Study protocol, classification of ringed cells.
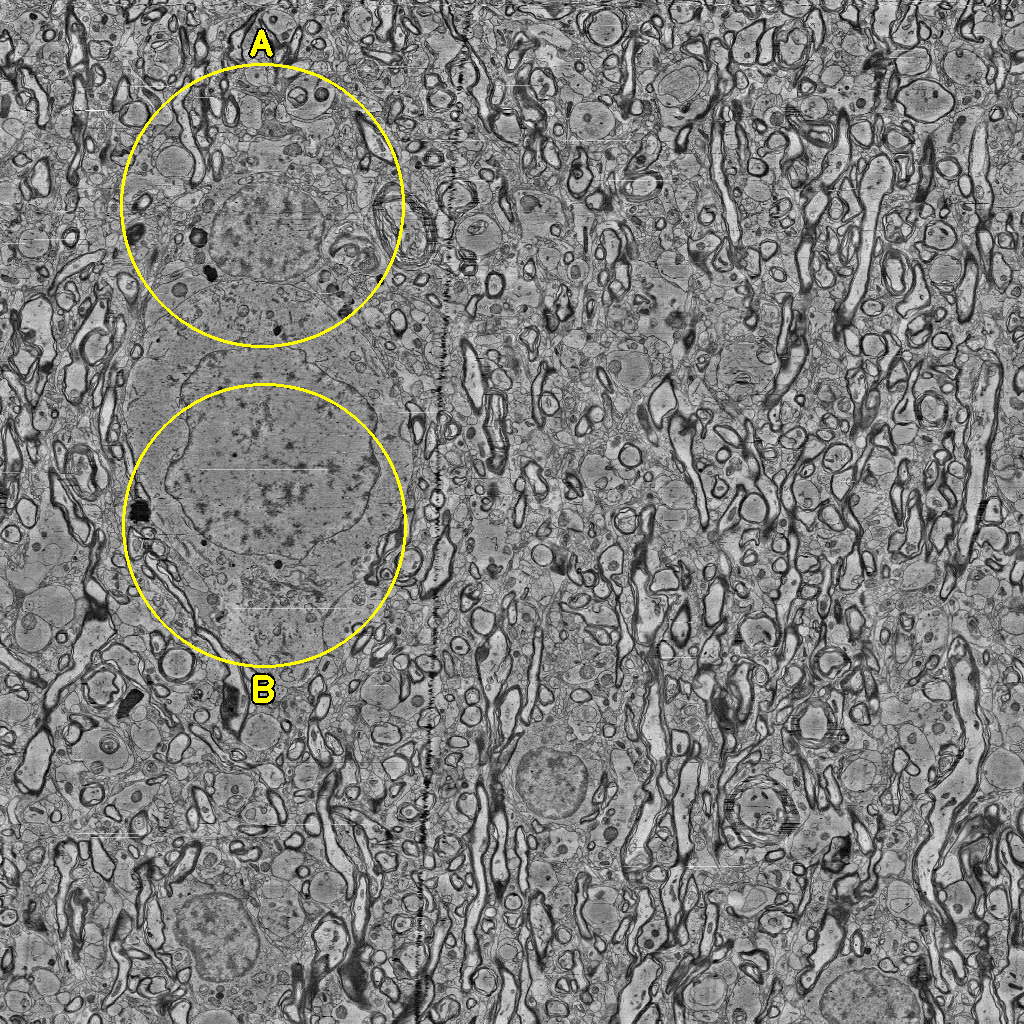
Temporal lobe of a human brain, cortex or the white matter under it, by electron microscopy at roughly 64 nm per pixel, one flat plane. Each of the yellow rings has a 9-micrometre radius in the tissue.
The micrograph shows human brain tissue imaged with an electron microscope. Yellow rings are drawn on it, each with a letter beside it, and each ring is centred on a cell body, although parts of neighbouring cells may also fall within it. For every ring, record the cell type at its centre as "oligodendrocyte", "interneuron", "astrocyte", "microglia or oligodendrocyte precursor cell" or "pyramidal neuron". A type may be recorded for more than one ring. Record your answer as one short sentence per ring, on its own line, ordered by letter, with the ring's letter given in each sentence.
Ring A has been centred on an oligodendrocyte.
Ring B has been centred on a pyramidal neuron.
